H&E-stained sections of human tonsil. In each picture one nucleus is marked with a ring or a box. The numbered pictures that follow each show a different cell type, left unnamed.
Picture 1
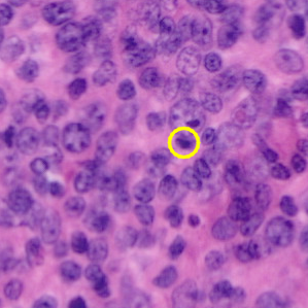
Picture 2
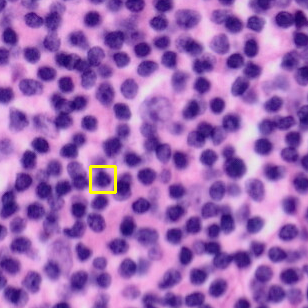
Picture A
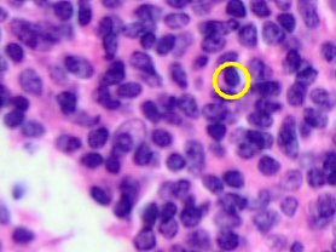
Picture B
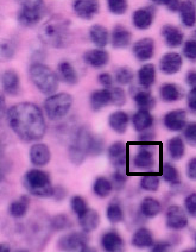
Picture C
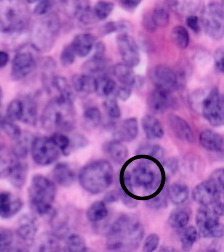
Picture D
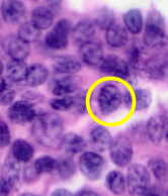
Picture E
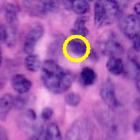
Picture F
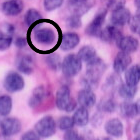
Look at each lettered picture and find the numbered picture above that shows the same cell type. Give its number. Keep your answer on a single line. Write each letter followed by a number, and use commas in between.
A 2, B 2, C 1, D 1, E 1, F 2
